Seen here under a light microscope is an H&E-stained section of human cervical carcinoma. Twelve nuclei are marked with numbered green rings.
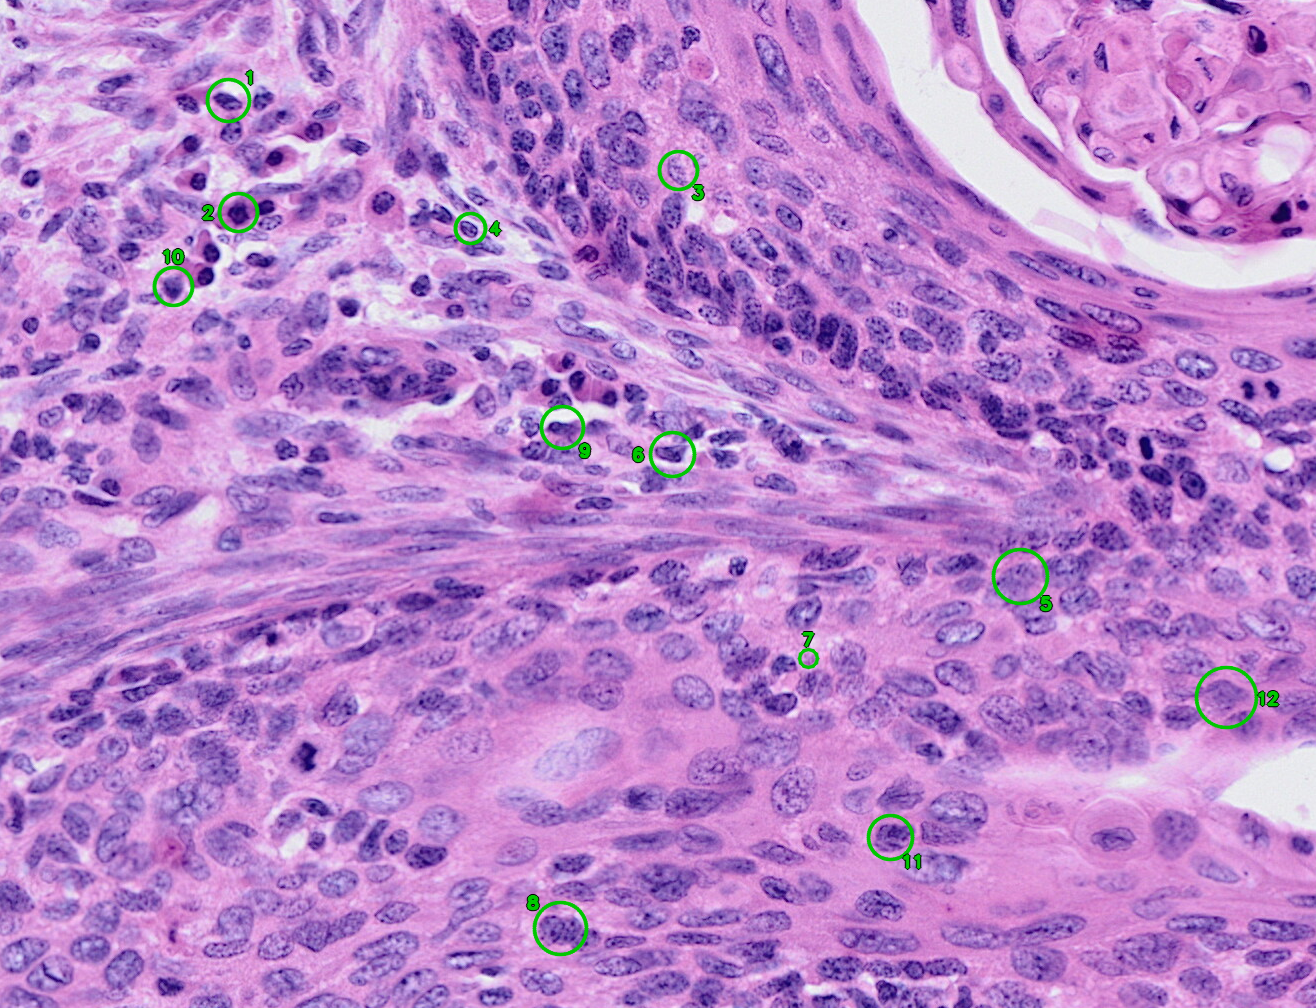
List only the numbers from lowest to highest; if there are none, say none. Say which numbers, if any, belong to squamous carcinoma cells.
3, 5, 7, 8, 11, 12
